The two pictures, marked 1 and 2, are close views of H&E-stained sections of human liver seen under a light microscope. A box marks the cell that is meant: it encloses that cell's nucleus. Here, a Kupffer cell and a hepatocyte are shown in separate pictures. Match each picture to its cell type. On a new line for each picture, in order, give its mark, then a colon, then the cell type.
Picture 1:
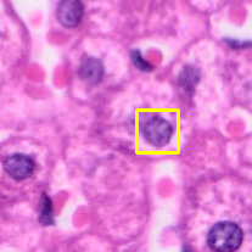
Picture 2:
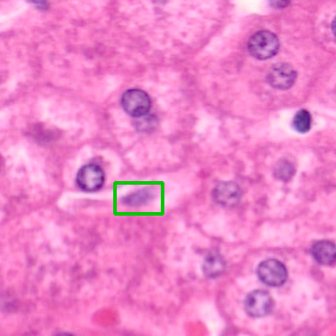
1: hepatocyte
2: Kupffer cell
